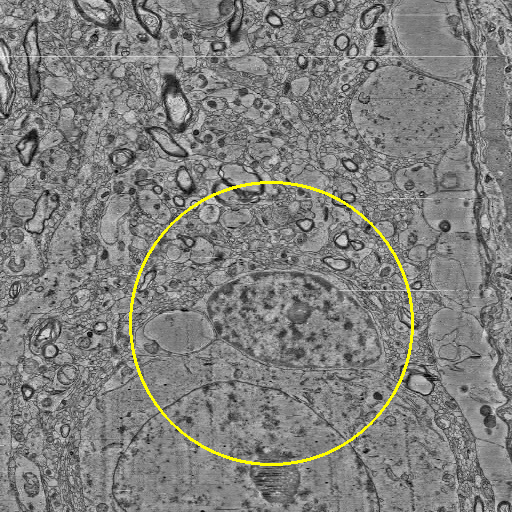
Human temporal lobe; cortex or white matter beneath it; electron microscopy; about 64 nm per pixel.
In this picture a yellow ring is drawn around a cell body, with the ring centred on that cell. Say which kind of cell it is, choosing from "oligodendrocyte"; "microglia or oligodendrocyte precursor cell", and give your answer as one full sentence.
Here it is a microglial cell or oligodendrocyte precursor cell that sits at the centre of the drawn yellow ring.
